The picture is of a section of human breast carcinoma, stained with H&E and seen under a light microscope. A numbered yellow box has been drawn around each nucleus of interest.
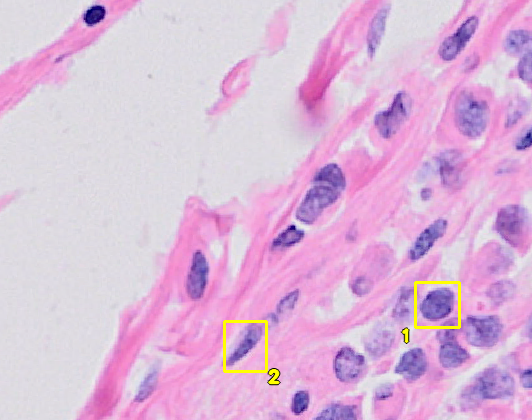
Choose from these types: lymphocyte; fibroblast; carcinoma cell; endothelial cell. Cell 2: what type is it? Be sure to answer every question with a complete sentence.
The label 2 in this section denotes a fibroblast.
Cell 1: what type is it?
The identity of cell 1 is that of a carcinoma cell.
